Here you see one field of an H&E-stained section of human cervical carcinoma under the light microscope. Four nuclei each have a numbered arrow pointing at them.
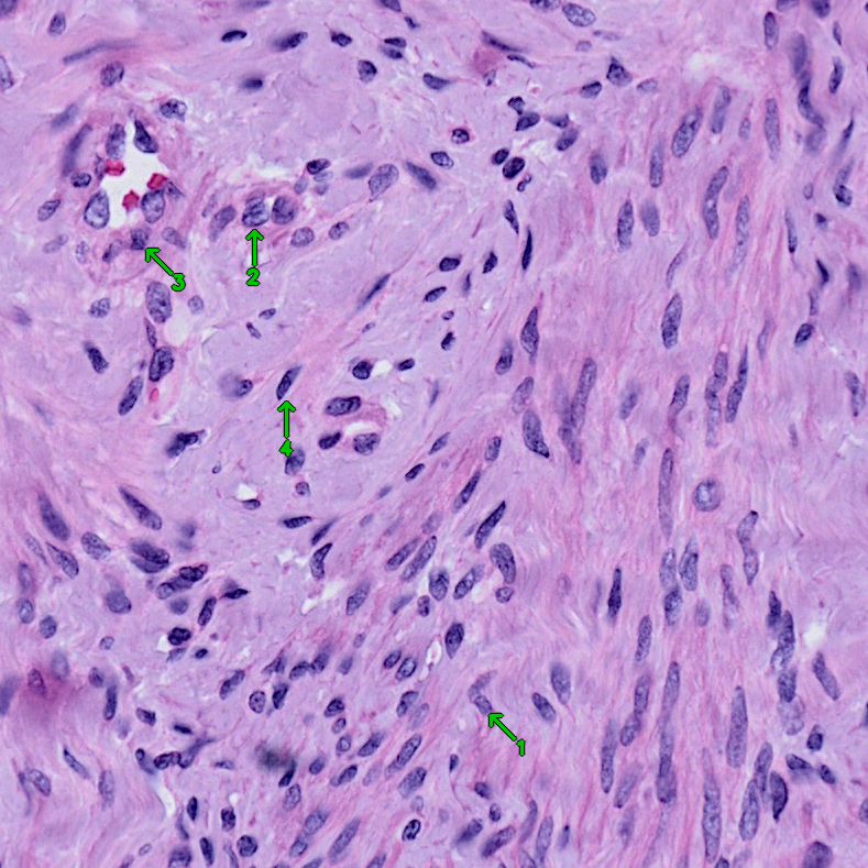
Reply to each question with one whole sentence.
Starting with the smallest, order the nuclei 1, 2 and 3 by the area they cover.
Smallest first, the nuclei run 1, 3, 2.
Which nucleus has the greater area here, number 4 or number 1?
At about 1.5 times the area of nucleus 1, nucleus 4 is the larger of the two.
